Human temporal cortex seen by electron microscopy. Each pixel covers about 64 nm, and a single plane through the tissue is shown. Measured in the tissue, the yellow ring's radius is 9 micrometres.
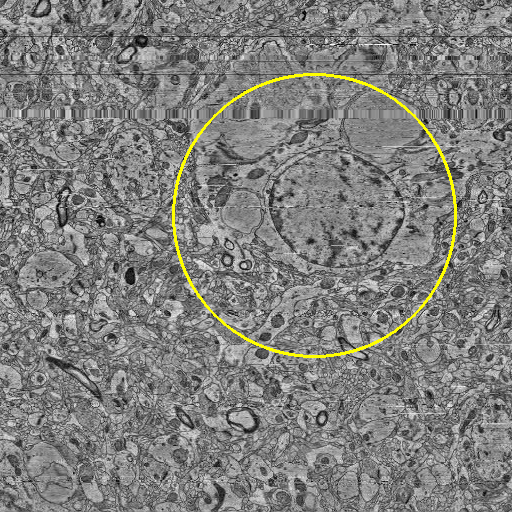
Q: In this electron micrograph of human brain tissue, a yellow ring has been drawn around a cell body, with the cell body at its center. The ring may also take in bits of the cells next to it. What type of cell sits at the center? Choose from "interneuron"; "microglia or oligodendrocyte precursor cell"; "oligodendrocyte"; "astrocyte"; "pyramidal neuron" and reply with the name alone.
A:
astrocyte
